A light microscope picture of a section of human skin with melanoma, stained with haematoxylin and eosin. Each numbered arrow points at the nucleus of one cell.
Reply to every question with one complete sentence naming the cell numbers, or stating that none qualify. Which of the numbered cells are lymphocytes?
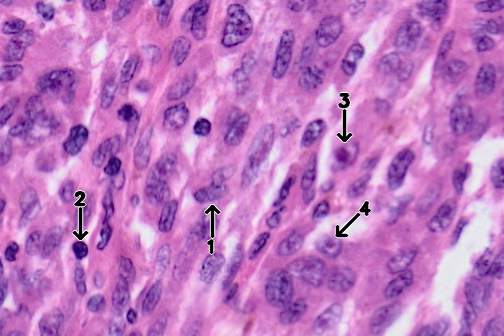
Cell 2 is a lymphocyte, and it is the only one.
